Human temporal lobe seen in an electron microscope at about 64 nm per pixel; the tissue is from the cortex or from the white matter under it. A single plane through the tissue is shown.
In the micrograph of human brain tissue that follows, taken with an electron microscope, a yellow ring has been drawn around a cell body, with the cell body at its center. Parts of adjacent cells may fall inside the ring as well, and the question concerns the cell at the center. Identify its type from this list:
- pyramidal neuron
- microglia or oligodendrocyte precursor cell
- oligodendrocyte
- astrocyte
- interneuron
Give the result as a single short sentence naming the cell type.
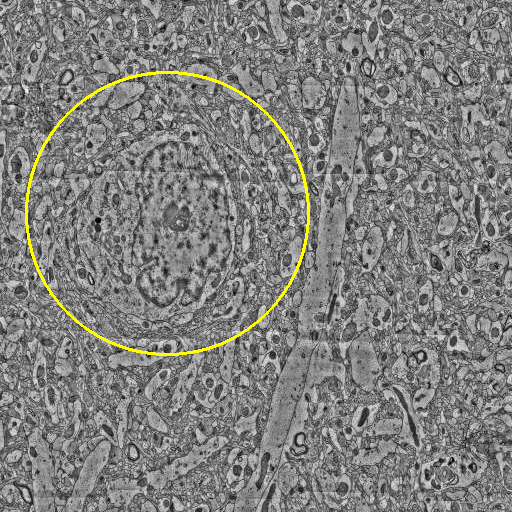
The ring is centered on an interneuron.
